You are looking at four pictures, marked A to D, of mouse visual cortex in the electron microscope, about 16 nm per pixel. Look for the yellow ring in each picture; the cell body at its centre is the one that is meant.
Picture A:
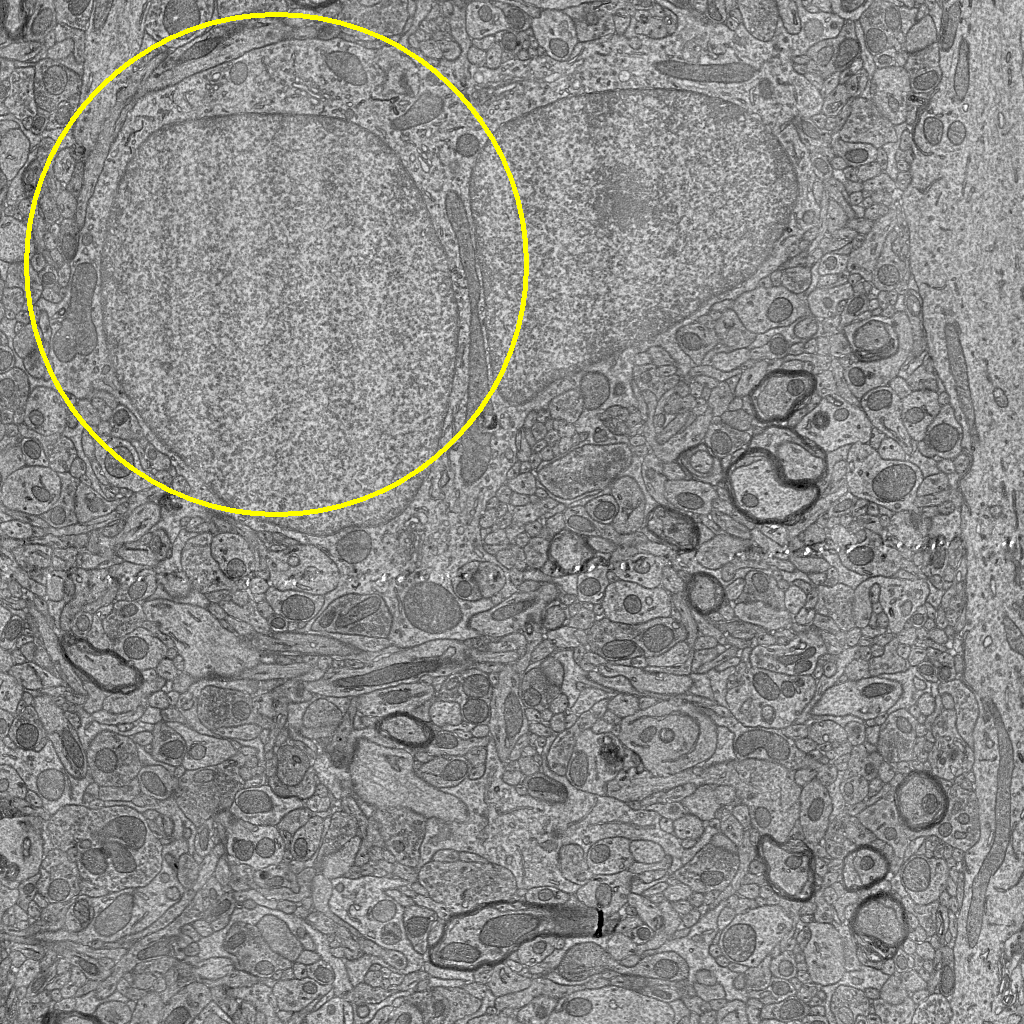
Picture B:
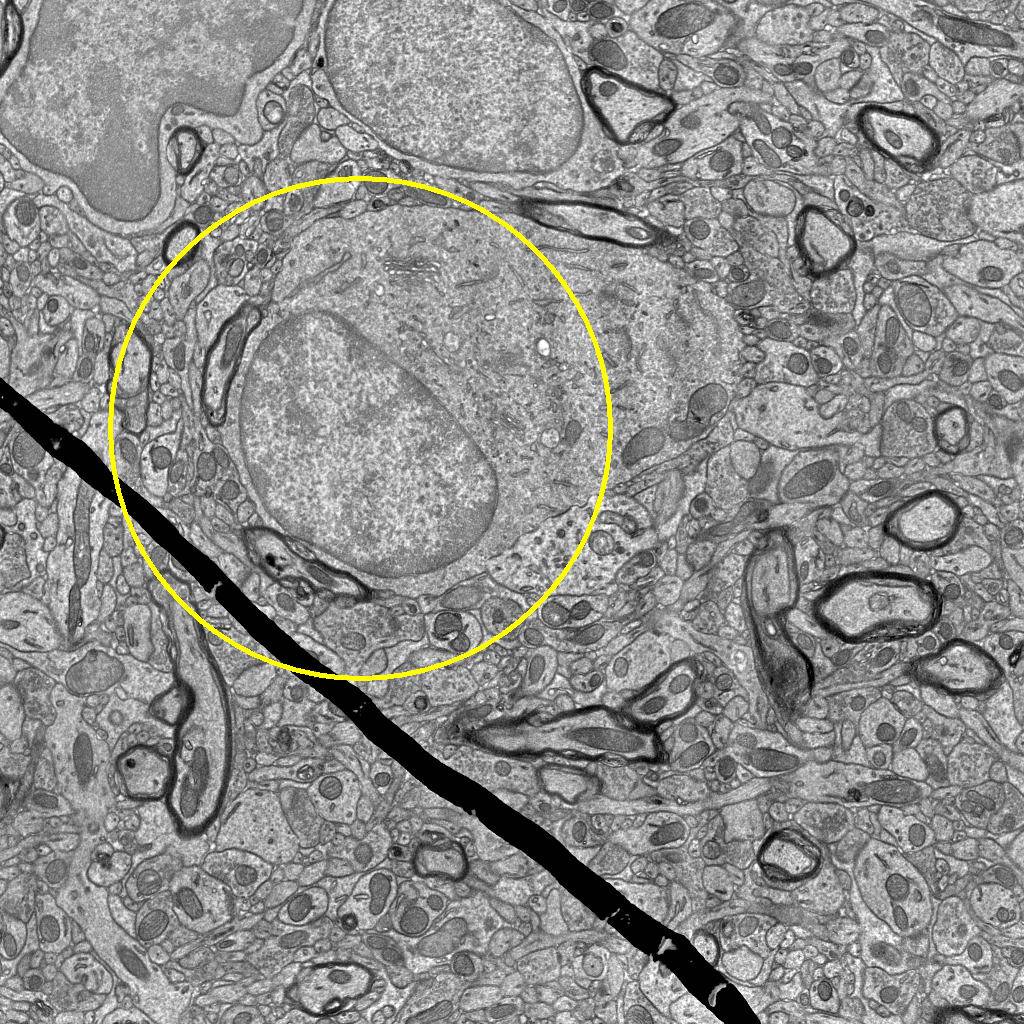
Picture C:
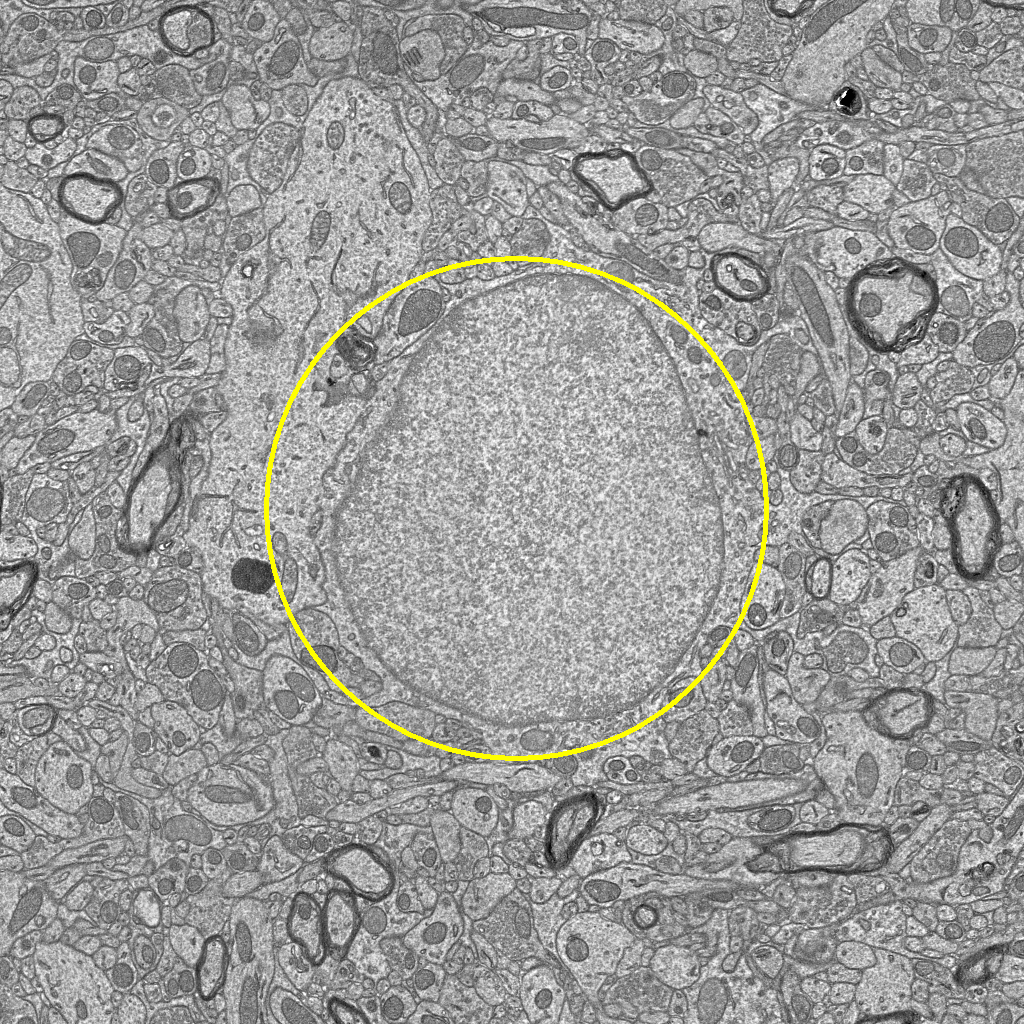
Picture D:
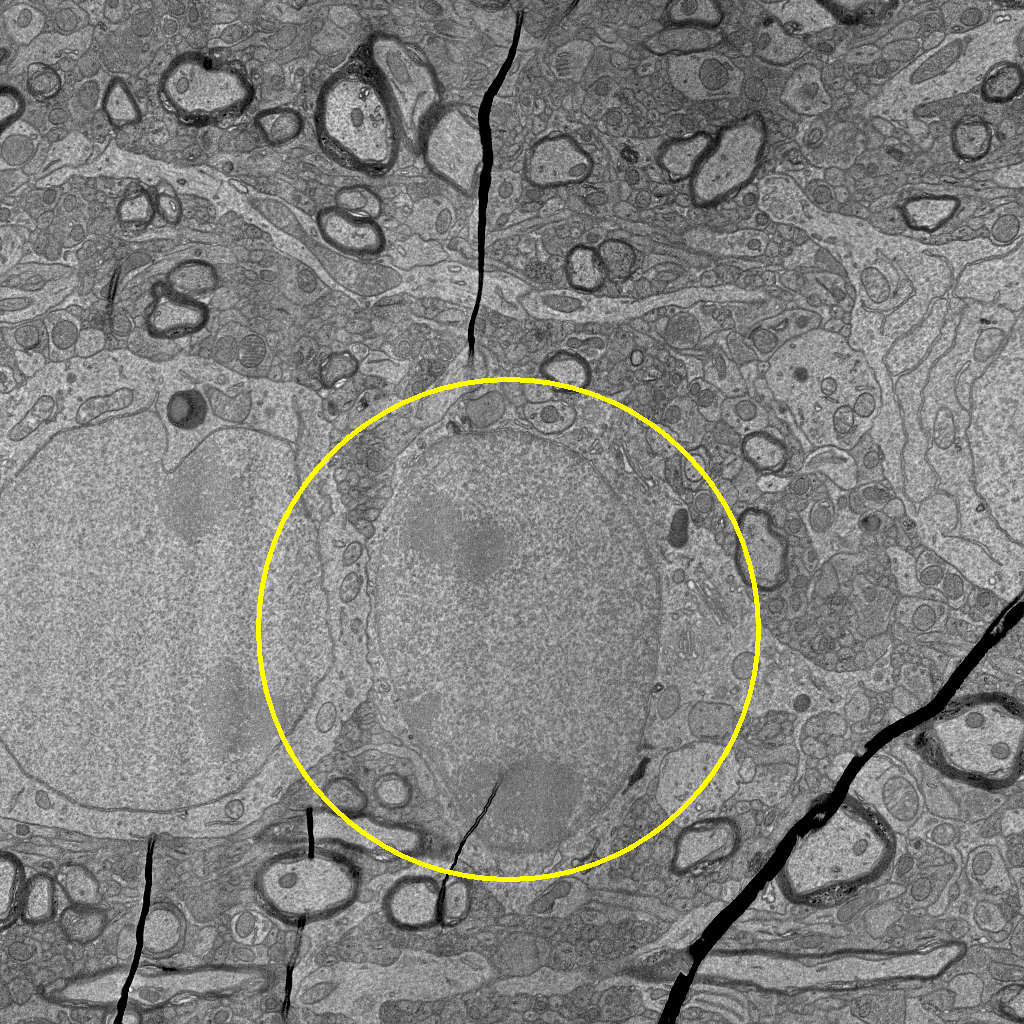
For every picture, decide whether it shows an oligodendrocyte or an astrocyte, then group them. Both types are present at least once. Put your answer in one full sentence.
Picture B shows an oligodendrocyte; pictures A, C and D show astrocytes.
